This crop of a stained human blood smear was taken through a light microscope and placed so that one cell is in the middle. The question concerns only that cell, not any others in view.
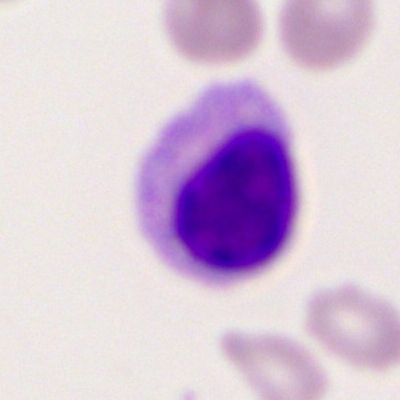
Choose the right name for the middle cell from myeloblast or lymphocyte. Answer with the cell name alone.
lymphocyte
